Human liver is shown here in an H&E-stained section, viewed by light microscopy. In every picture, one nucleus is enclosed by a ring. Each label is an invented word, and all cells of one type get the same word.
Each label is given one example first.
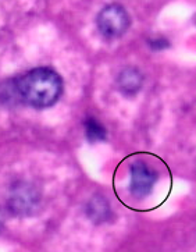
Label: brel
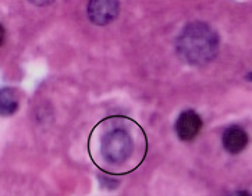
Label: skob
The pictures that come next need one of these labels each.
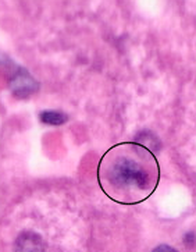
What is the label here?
brel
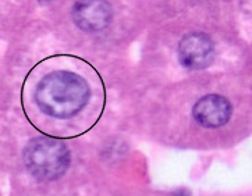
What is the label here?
skob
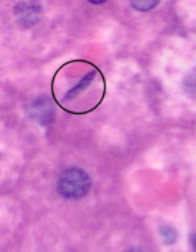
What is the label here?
brel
